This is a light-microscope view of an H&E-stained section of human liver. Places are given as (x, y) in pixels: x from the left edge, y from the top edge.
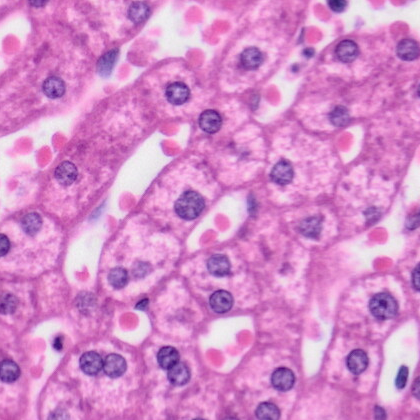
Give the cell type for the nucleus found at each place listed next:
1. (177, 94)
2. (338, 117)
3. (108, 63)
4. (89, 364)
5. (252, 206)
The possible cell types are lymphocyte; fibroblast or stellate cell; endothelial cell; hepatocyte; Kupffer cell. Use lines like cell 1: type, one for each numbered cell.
cell 1: hepatocyte
cell 2: hepatocyte
cell 3: endothelial cell
cell 4: hepatocyte
cell 5: endothelial cell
